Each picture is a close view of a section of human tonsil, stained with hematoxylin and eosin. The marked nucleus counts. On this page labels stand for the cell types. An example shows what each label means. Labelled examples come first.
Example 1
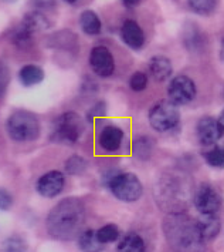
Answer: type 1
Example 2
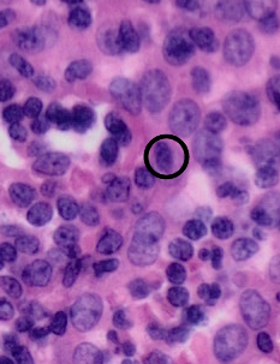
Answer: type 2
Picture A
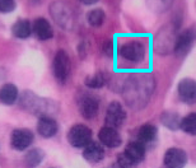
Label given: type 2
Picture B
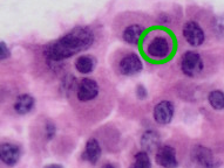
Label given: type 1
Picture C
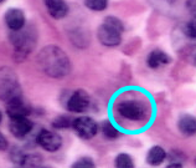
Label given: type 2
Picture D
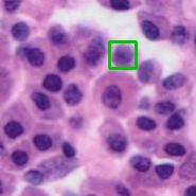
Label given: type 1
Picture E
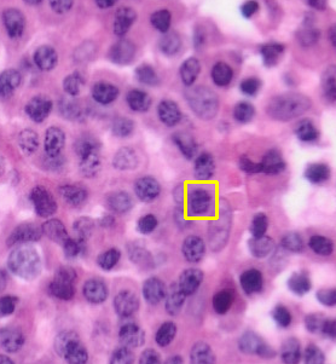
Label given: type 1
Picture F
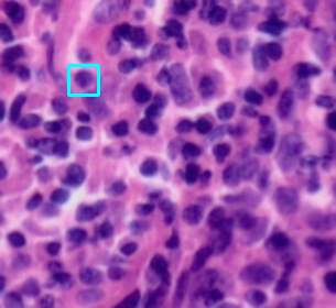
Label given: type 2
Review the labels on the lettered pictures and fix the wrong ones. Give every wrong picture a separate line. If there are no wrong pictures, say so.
All correct.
